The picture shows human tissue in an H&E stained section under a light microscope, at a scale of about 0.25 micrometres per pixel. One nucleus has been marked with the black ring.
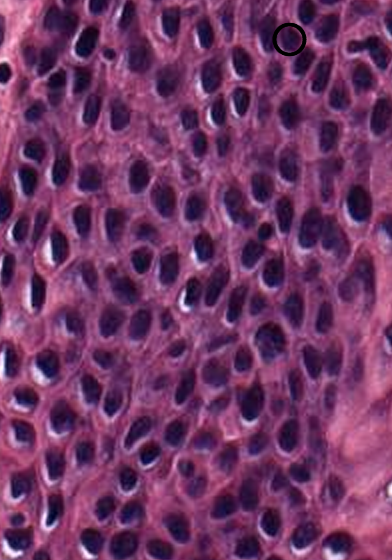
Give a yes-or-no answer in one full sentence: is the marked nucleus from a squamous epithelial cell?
Yes, the cell to which the marked nucleus belongs is a squamous epithelial cell.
